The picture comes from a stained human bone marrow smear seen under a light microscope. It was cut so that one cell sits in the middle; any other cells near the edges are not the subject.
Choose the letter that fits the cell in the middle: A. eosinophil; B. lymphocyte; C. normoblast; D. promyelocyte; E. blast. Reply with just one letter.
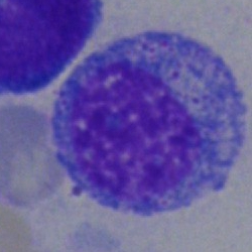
D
